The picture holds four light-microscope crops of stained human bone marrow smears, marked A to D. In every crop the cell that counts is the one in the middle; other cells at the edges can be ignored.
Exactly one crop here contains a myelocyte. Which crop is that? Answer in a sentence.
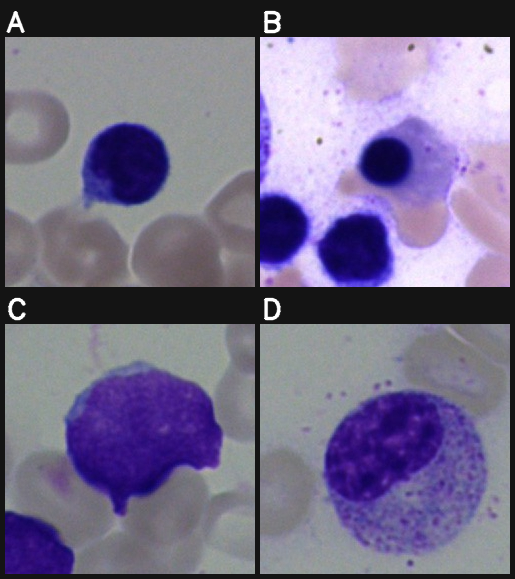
Crop D is the one to choose: it shows a myelocyte.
